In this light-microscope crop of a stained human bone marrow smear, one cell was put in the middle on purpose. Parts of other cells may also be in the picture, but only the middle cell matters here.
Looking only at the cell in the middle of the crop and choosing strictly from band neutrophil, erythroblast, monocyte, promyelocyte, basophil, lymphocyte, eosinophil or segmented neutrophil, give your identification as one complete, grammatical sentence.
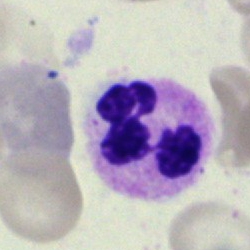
The cell featured at the centre of this crop is a segmented neutrophil.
